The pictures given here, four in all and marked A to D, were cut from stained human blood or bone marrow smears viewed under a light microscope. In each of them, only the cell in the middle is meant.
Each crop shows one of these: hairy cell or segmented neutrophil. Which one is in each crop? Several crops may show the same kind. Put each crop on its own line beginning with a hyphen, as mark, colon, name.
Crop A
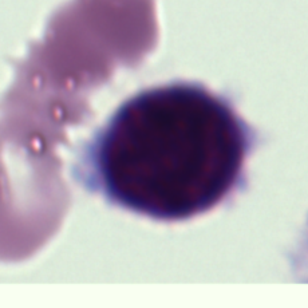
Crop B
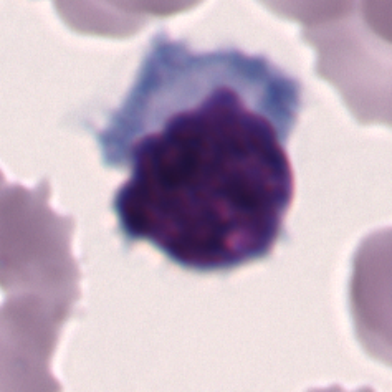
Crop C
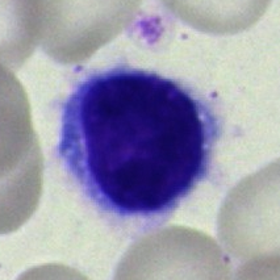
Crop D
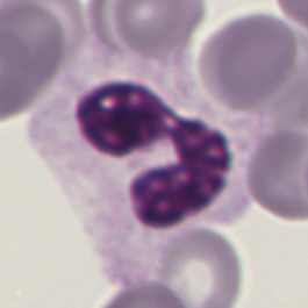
- A: hairy cell
- B: hairy cell
- C: hairy cell
- D: segmented neutrophil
